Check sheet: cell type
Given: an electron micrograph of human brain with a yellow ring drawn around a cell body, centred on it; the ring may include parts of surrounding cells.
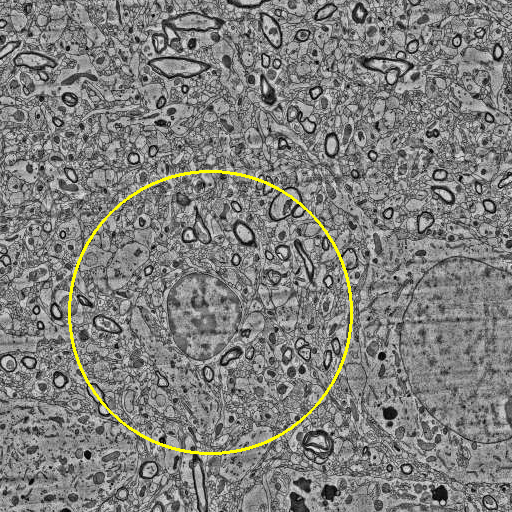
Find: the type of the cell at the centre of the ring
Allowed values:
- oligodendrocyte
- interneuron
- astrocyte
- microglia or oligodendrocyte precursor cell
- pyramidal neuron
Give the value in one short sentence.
Here the ringed cell is a microglial cell or oligodendrocyte precursor cell.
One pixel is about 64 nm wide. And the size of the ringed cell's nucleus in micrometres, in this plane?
Roughly 6 by 5 micrometres in this plane, for the nucleus of the ringed cell.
